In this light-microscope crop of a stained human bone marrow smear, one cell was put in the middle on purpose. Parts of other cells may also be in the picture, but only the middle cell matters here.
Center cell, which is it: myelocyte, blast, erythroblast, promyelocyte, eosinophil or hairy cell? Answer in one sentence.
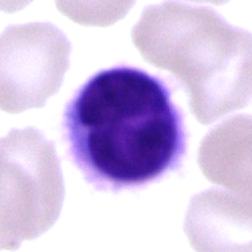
For this crop, the cell in the middle is a hairy cell.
